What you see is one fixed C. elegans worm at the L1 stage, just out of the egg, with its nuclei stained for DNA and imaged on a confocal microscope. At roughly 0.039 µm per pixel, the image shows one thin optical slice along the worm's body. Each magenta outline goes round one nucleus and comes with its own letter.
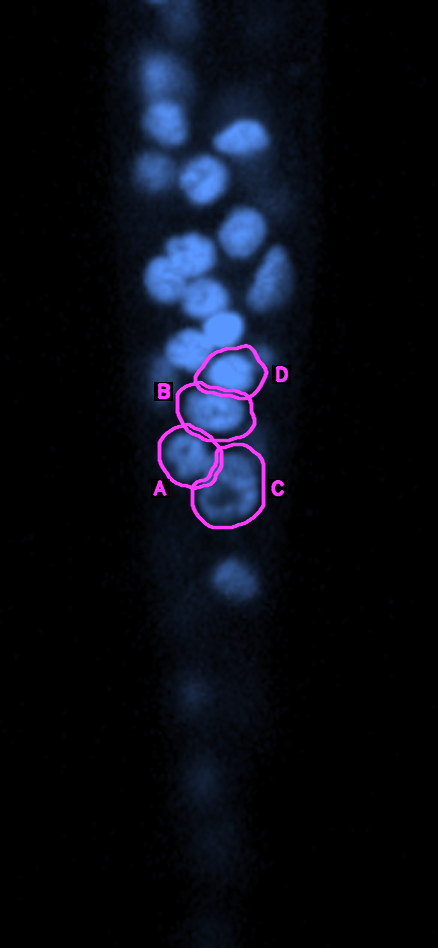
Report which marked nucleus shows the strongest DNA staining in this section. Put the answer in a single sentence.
D is stained most strongly in this section.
